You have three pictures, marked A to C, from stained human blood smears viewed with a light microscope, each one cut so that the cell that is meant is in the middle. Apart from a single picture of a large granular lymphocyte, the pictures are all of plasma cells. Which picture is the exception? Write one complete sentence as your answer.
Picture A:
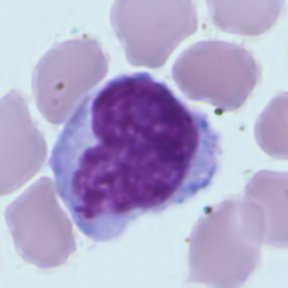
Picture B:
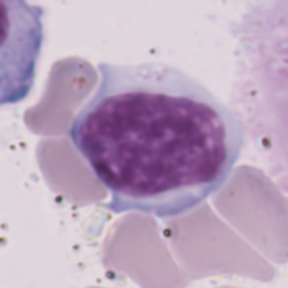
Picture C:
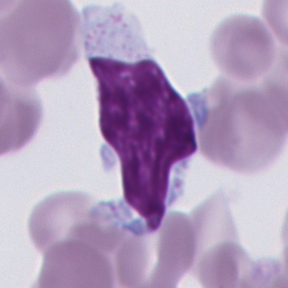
The large granular lymphocyte is the one in picture C.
